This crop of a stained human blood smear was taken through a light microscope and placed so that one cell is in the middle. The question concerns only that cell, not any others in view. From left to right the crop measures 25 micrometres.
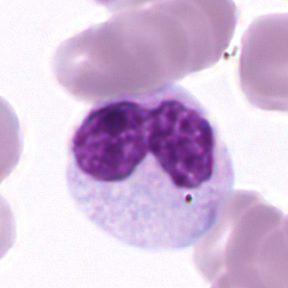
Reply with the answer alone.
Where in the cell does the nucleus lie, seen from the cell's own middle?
top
